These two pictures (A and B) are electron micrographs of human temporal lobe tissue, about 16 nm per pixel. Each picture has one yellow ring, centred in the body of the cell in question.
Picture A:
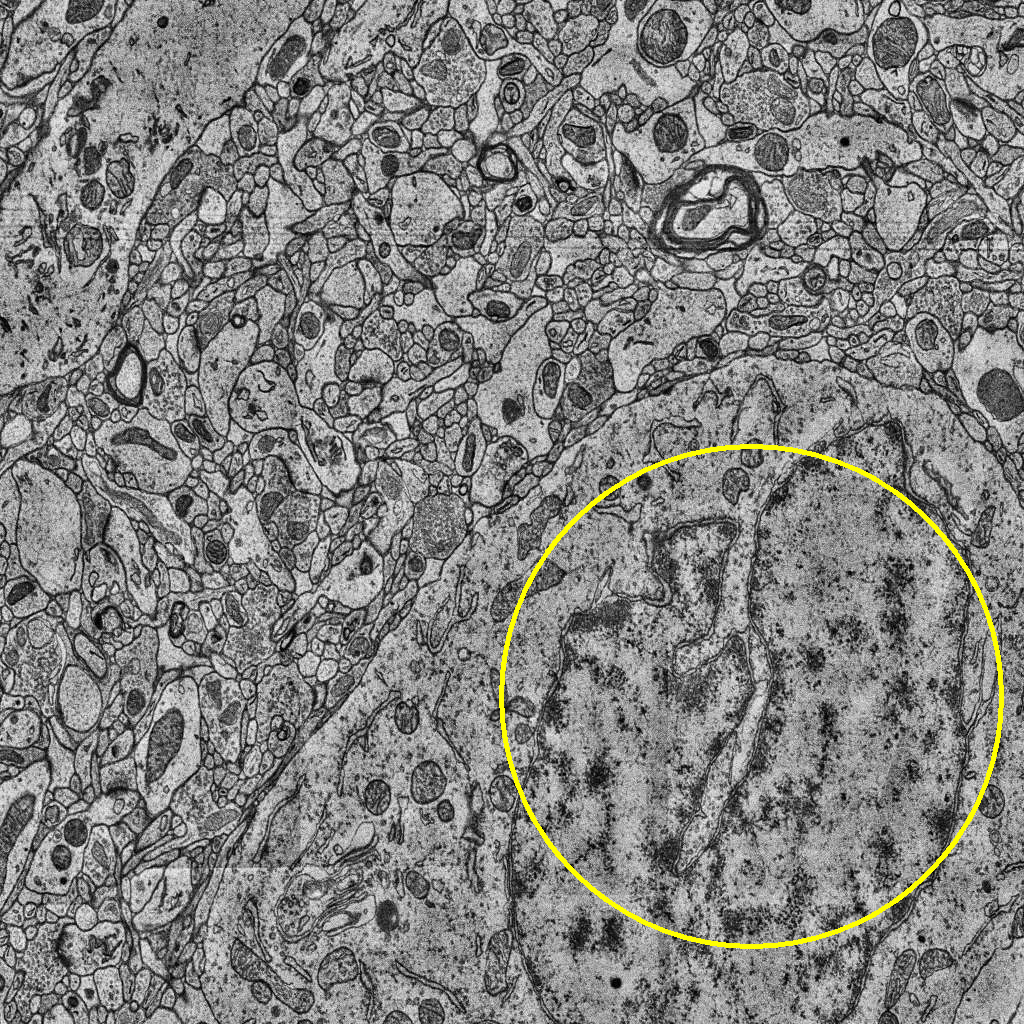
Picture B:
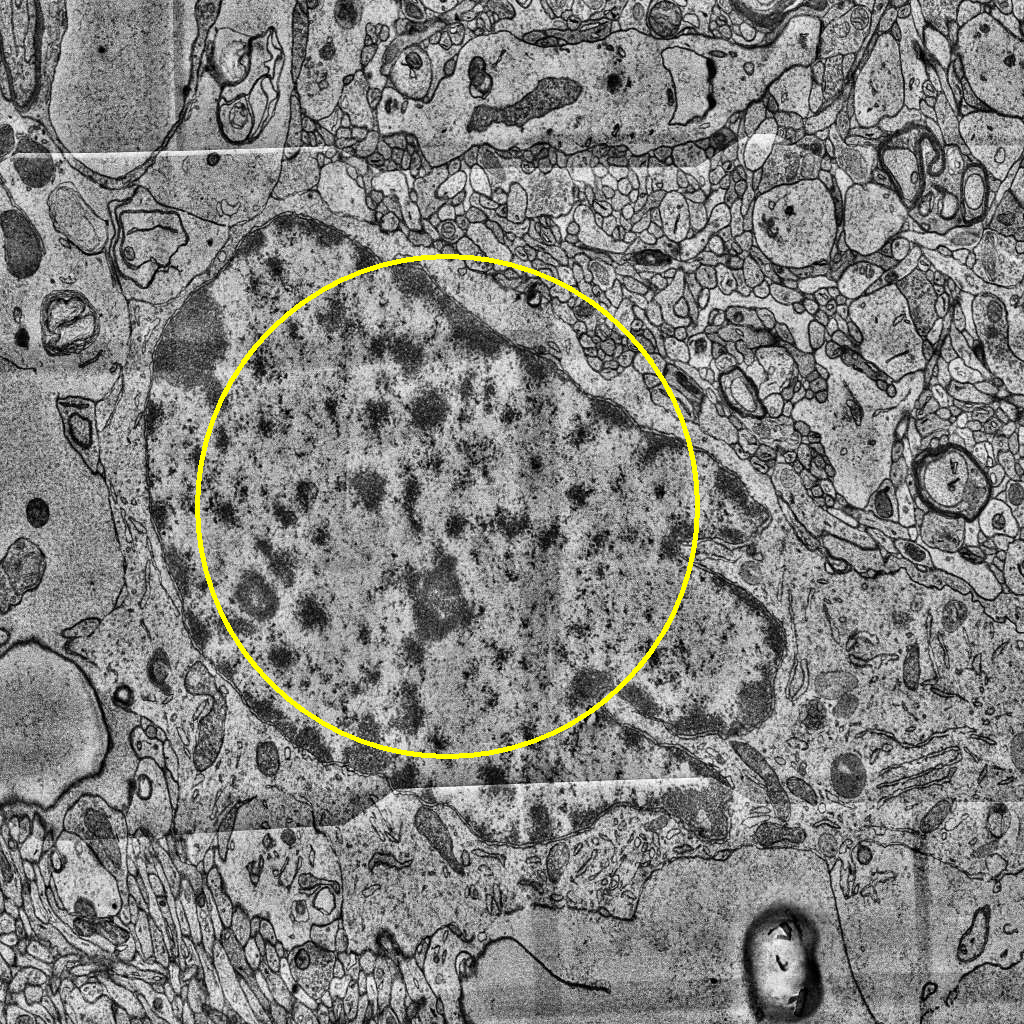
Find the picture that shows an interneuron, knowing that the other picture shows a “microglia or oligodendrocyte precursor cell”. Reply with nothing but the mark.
A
